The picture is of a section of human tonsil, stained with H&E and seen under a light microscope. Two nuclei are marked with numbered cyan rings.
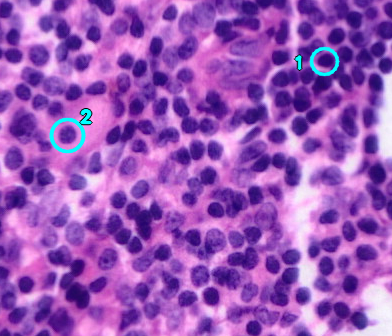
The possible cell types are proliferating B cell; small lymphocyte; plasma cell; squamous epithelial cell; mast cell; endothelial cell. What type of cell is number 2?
endothelial cell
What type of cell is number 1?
small lymphocyte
